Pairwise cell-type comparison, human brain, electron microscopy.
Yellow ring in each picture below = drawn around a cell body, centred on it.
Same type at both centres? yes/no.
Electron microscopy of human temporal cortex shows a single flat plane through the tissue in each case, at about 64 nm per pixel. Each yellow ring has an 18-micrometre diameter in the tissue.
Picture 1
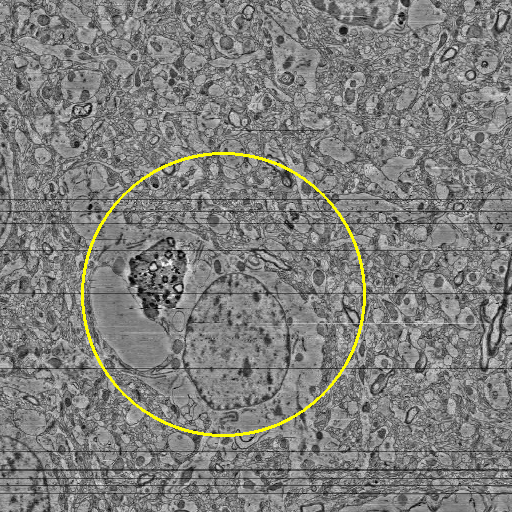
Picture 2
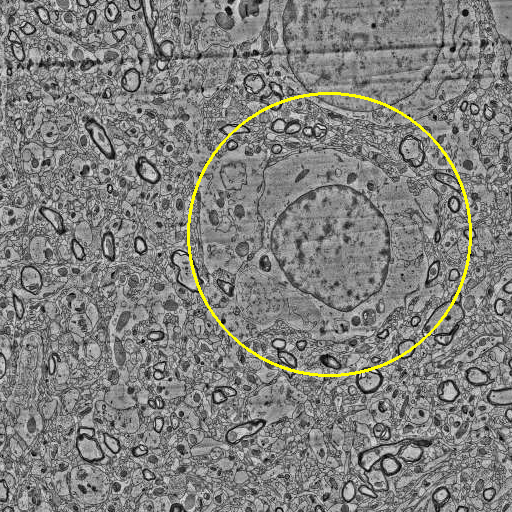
yes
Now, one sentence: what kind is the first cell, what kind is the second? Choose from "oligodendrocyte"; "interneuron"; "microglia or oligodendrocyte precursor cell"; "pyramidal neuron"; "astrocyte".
Each of the two cells is an astrocyte.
